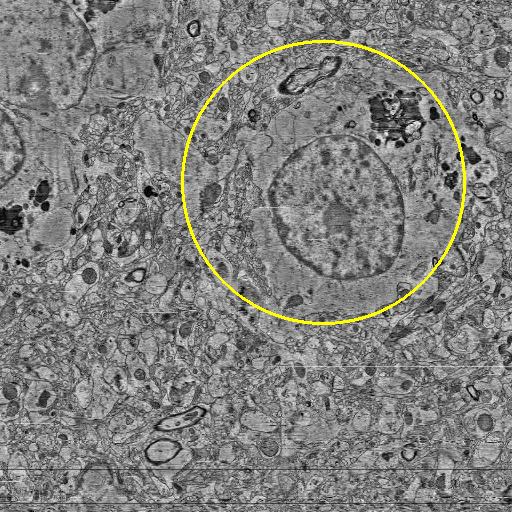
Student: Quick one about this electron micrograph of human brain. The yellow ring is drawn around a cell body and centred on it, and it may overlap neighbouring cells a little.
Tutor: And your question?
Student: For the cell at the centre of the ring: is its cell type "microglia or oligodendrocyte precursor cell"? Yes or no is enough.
no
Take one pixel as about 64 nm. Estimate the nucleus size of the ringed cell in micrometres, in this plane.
Roughly 10 by 8 micrometres is the size of the nucleus in this plane.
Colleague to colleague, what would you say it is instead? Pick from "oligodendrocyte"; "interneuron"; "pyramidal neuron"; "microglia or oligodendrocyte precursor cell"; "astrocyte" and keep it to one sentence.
Here, the ring is centred on an astrocyte instead.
